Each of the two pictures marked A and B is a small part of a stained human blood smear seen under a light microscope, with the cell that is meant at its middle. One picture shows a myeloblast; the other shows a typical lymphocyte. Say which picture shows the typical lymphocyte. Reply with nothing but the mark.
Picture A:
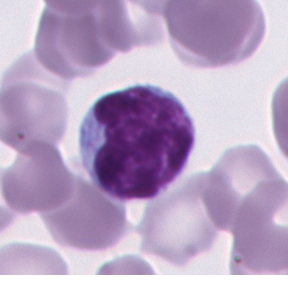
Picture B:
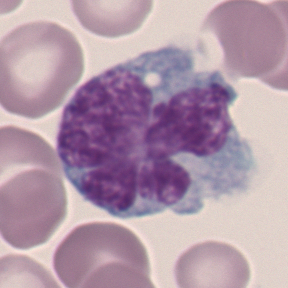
A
